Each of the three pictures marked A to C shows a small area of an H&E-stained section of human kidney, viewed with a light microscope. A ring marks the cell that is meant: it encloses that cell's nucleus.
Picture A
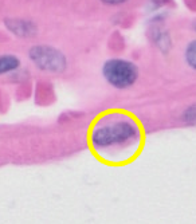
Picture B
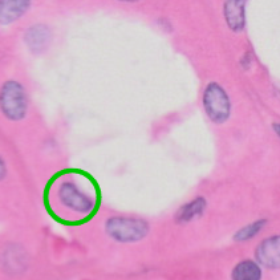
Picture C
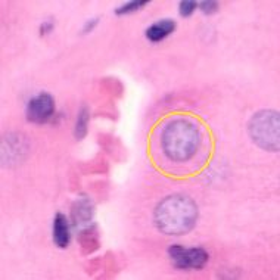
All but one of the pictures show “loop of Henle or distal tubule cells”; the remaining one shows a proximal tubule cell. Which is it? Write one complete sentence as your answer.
Picture C is the one that shows the proximal tubule cell.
